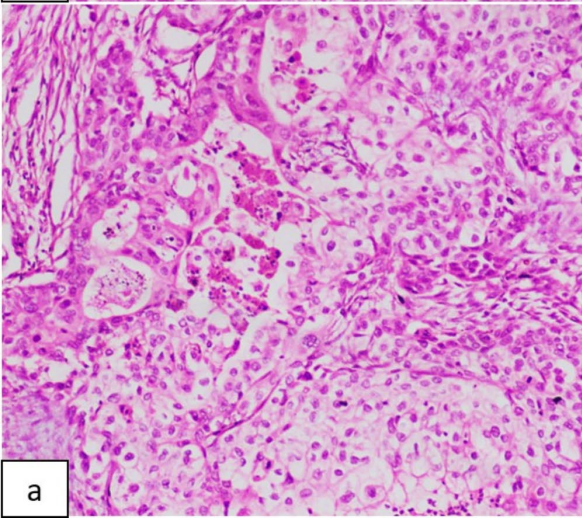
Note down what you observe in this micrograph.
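Epithelioid tumour cells with pale to clear cytoplasm and round to oval nuclei are arranged in nests and gland-like structures within a thin fibrous stroma. Some gland-like spaces contain pink granular debris, consistent with foci of necrosis.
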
